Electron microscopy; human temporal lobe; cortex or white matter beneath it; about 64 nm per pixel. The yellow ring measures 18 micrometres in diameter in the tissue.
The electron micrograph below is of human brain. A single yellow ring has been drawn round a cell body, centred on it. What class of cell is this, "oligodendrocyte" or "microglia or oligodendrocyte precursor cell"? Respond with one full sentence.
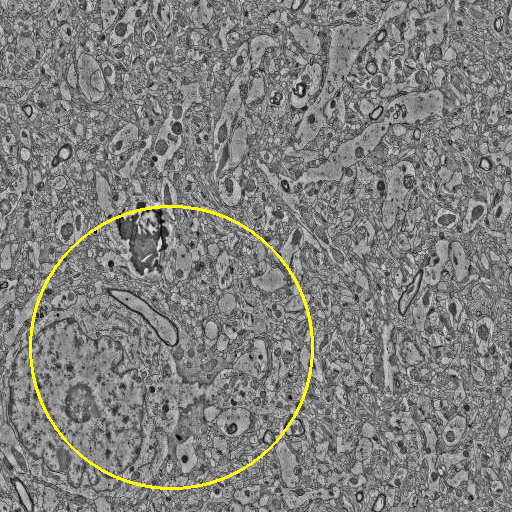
In the micrograph, the cell centred inside the yellow ring is an oligodendrocyte.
